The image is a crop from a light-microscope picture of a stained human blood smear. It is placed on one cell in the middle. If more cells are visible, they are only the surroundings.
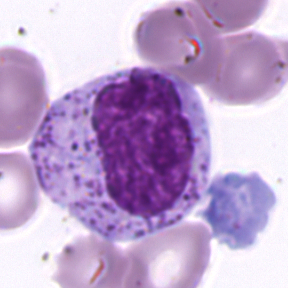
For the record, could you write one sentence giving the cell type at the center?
The middle of this crop is occupied by a myelocyte.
